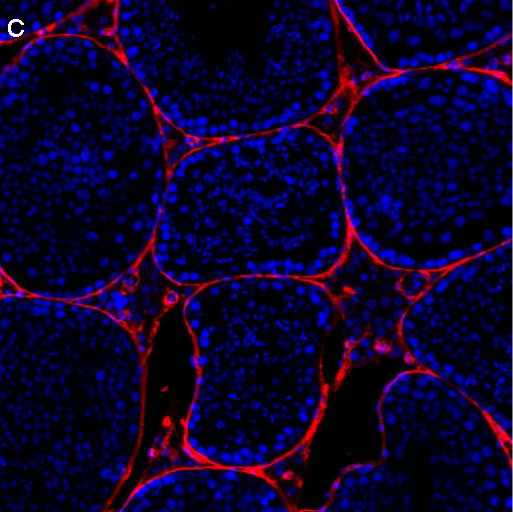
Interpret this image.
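Closely packed cross-sections of seminiferous tubules of the testis are lined by a multilayered epithelium of densely packed blue nuclei. Thin red lines outline the boundary of each tubule. The interstitial spaces between the tubules contain scattered nuclei and red-stained profiles.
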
